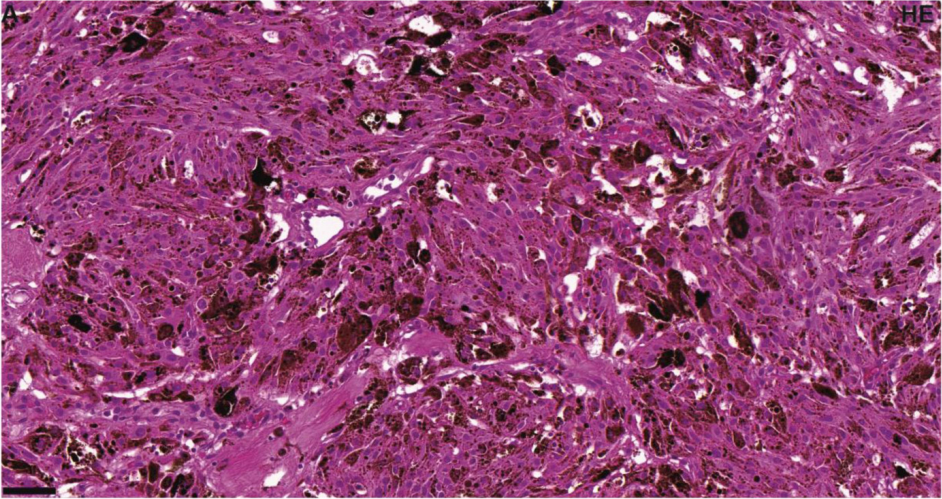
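A densely cellular tumor is made of cells ranging from plump polygonal epithelioid forms to elongated spindle cells, arranged in short intersecting bundles that change direction across the field. Many cells are stuffed with coarse dark brown to black pigment, which in places hides the nucleus completely, and large rounded pigment-laden cells are scattered among lighter tumor cells. Small clear spaces and thin vessel lumina lie between the bundles, and a few bands of paler pink fibrous tissue cross the lower part of the field.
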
